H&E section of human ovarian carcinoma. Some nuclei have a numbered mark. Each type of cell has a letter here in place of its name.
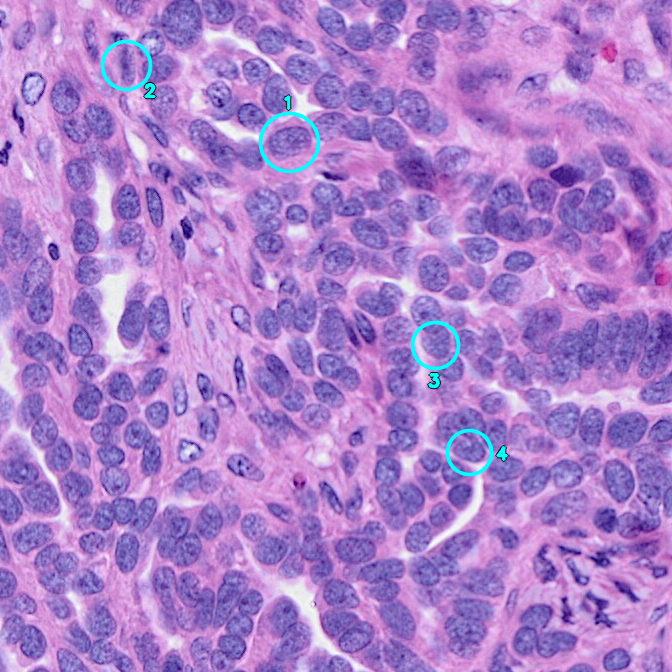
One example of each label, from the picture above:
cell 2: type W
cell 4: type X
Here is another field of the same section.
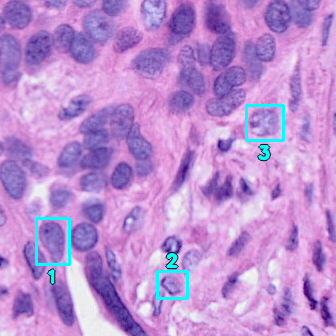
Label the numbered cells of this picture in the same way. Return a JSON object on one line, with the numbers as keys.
{"1": "type X", "2": "type W", "3": "type W"}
